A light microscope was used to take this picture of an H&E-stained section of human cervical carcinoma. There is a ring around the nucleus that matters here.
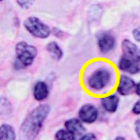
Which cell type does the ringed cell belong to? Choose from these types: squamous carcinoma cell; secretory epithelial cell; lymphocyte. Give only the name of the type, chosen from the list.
lymphocyte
